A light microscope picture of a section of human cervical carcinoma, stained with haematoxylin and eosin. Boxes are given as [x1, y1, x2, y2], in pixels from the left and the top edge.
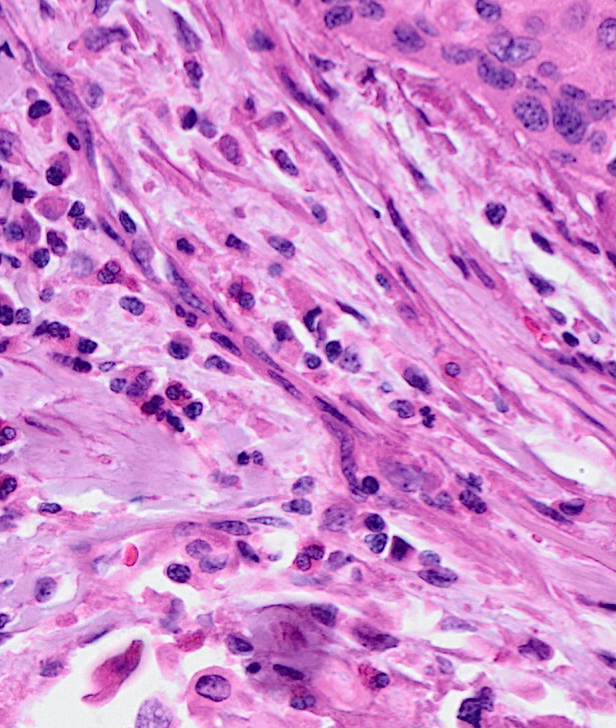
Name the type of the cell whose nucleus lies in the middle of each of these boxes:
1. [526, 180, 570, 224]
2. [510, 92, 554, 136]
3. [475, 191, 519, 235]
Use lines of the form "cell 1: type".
cell 1: fibroblast
cell 2: squamous carcinoma cell
cell 3: lymphocyte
